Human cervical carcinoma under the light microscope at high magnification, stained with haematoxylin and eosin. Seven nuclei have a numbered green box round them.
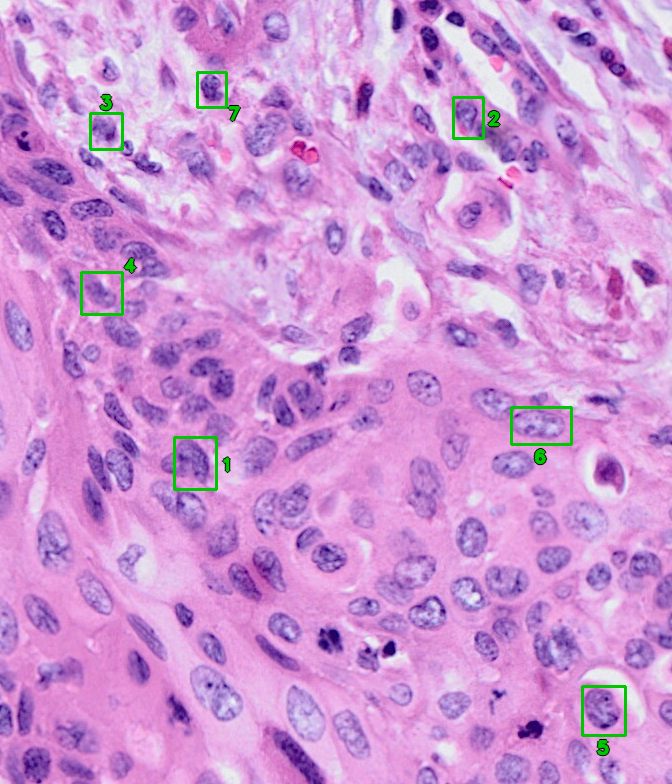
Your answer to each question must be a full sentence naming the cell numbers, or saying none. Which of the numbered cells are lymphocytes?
With the exception of cell 7, no marked cell is a lymphocyte.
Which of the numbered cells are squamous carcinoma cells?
Each of the cells numbered 1, 4, 5 and 6 is among the squamous carcinoma cells.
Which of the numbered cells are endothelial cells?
Cell 2 is an endothelial cell; the remaining numbered cells are not.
